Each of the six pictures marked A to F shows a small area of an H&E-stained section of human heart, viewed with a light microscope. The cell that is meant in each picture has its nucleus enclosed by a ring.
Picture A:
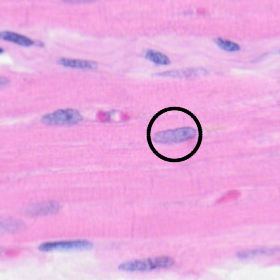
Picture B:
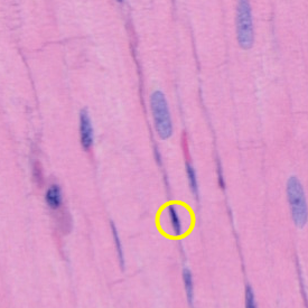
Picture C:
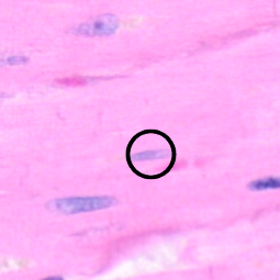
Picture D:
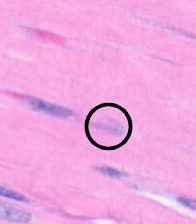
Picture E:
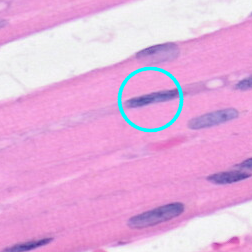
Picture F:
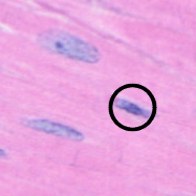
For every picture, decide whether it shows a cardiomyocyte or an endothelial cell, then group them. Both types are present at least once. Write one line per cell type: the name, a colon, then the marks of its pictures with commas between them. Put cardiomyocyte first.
cardiomyocyte: A, C, D
endothelial cell: B, E, F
